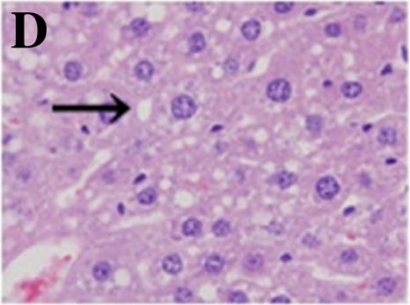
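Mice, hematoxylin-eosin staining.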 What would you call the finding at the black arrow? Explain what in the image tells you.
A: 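Many similar round clear spaces are scattered between the nuclei. That points to this answer: fat granule in cell.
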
